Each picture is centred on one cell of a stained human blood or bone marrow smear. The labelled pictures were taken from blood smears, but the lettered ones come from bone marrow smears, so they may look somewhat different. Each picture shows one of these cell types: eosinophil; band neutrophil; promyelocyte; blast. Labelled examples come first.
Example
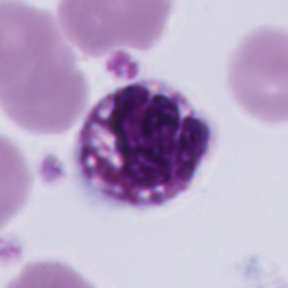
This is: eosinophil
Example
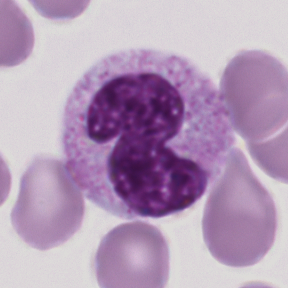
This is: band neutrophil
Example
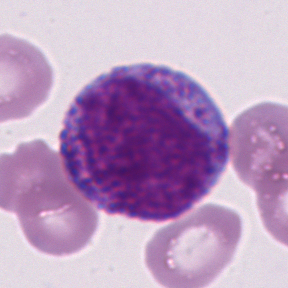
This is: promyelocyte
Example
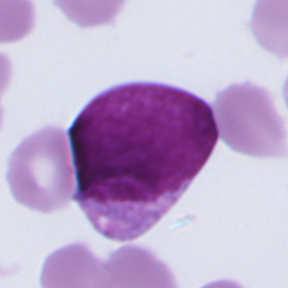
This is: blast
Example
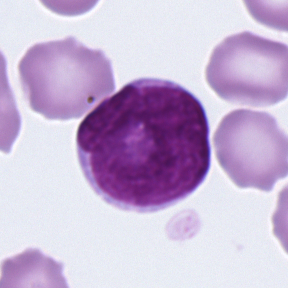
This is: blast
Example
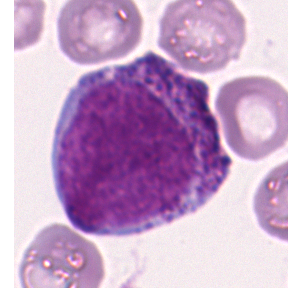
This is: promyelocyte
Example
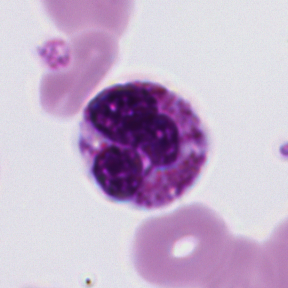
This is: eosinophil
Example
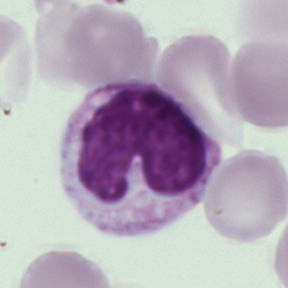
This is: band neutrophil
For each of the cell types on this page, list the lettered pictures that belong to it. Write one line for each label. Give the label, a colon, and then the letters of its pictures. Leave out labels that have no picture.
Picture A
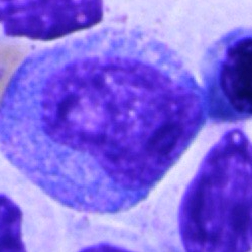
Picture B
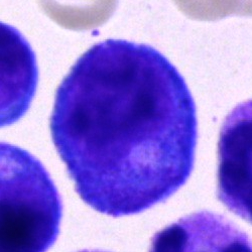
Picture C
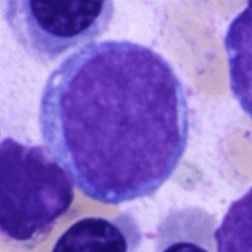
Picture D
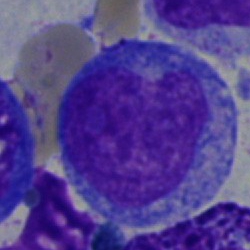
promyelocyte: A, B
blast: C, D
